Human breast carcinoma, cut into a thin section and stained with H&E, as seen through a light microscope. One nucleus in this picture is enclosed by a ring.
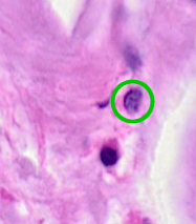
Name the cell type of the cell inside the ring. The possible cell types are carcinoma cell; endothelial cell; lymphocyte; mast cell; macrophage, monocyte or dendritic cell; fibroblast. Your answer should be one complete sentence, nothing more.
In the tissue under study, the cell inside the ring is a mast cell.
